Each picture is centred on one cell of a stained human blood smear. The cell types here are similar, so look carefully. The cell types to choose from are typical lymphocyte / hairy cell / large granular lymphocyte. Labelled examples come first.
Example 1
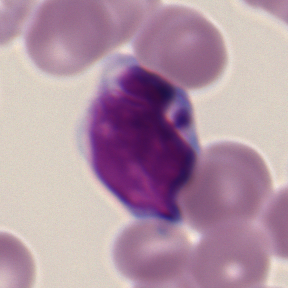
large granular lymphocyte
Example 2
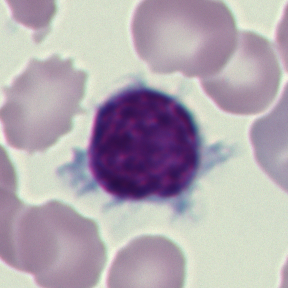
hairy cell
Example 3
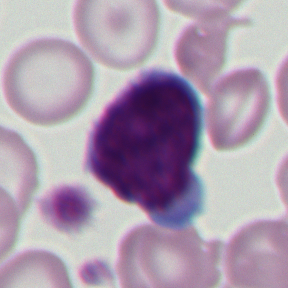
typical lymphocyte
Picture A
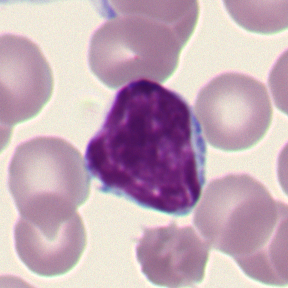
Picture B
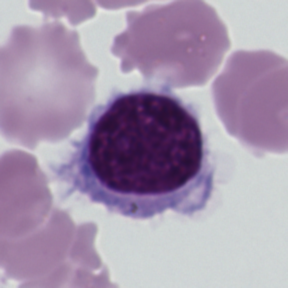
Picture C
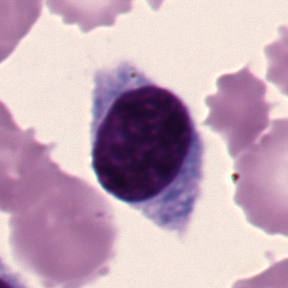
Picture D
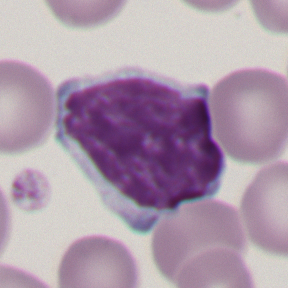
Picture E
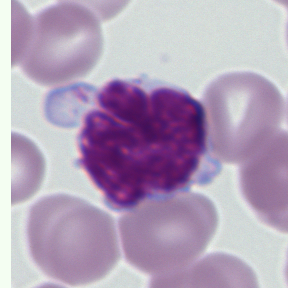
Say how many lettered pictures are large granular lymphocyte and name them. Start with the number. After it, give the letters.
1: E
